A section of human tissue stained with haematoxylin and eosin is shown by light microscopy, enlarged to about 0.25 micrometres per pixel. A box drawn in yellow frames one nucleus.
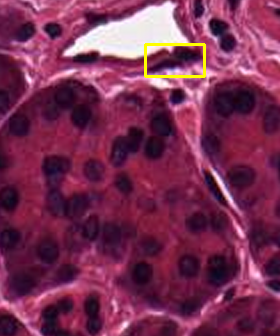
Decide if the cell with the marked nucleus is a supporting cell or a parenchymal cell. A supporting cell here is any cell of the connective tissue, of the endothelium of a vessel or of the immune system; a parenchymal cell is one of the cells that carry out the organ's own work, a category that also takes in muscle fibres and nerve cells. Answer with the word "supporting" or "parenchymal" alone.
supporting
